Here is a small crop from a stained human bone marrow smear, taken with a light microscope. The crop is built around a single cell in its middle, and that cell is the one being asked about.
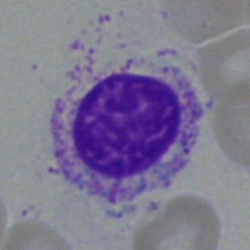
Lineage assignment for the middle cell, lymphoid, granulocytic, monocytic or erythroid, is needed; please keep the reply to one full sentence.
The lineage represented by the central cell is granulocytic.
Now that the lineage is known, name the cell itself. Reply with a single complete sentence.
The central cell, amid any neighbouring cells, is a myelocyte.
